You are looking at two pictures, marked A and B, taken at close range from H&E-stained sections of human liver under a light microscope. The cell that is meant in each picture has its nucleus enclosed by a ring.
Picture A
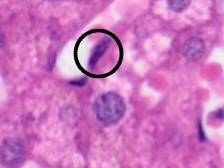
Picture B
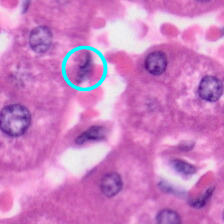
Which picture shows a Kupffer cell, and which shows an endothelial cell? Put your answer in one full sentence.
It is picture A that shows a Kupffer cell, and picture B that shows an endothelial cell.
